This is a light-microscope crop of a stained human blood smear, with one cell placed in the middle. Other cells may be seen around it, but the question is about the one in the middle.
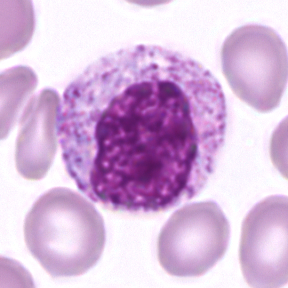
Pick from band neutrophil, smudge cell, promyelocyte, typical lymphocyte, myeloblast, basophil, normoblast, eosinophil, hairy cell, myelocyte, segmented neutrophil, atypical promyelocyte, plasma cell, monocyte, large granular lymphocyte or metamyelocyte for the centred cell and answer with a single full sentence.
At the center of the crop sits a metamyelocyte.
